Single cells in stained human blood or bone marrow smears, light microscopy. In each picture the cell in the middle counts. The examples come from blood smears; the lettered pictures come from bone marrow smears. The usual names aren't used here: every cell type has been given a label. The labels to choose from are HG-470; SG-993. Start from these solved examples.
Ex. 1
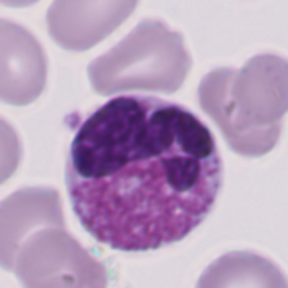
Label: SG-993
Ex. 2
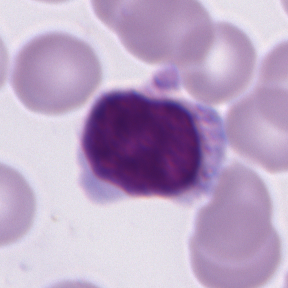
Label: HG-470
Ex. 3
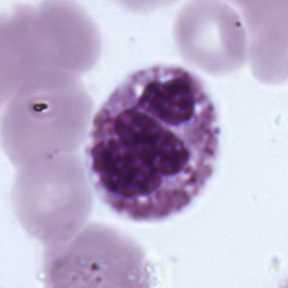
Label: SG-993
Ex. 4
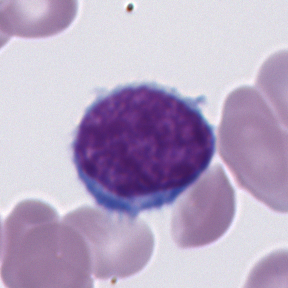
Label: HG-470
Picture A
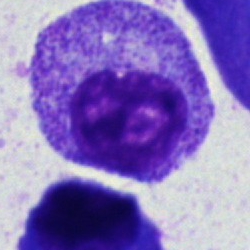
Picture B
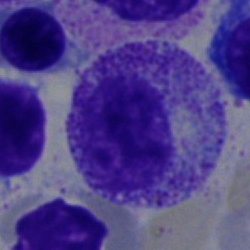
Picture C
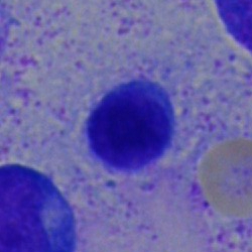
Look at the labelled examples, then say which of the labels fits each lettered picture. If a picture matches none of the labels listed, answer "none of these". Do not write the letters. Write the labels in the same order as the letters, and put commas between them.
none of these, none of these, HG-470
